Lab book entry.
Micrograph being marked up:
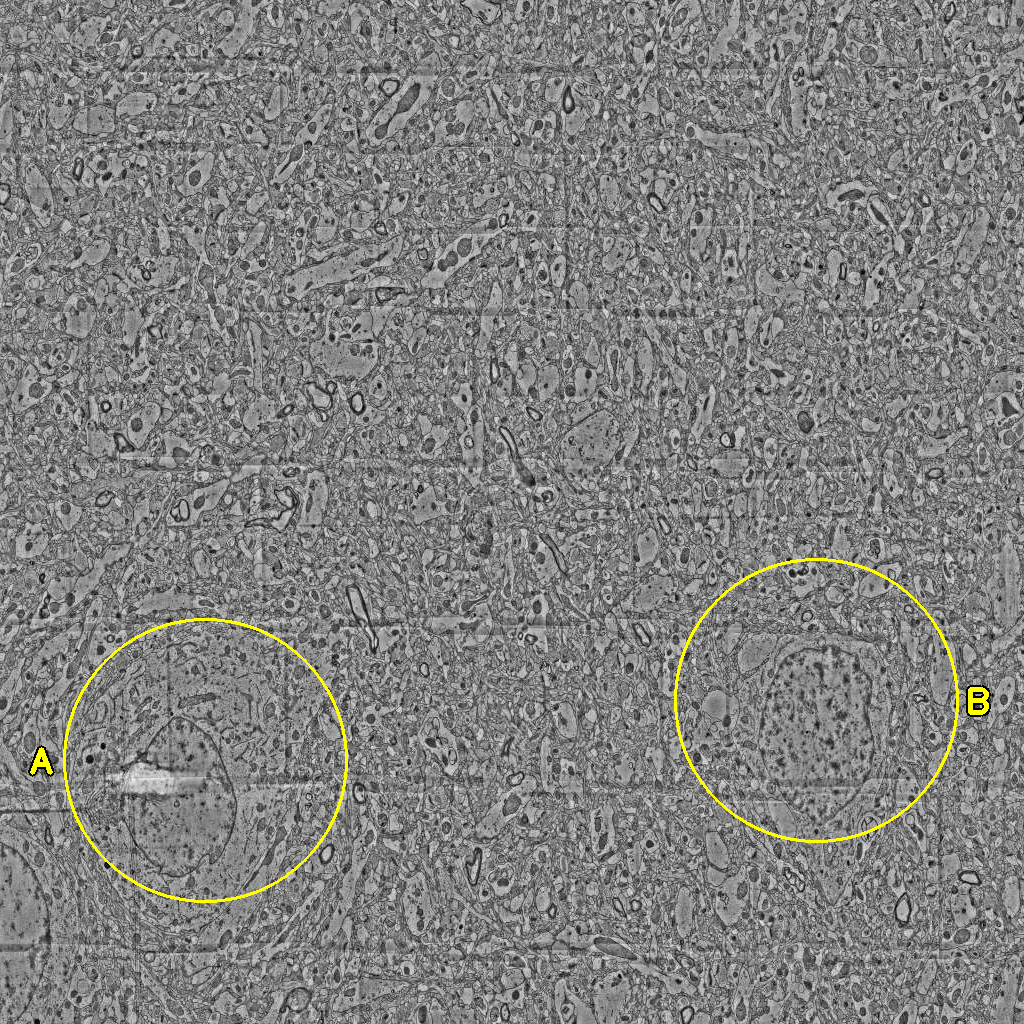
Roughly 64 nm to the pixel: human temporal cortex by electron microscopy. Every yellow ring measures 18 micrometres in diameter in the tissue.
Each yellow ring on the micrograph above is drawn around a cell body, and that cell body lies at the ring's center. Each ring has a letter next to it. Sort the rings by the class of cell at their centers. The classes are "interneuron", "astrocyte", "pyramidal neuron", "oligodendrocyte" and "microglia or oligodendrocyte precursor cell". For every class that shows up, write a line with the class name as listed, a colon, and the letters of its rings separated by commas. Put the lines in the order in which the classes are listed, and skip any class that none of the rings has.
interneuron: B
pyramidal neuron: A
